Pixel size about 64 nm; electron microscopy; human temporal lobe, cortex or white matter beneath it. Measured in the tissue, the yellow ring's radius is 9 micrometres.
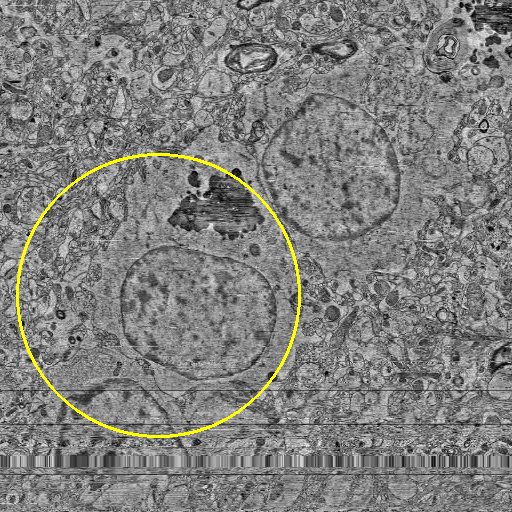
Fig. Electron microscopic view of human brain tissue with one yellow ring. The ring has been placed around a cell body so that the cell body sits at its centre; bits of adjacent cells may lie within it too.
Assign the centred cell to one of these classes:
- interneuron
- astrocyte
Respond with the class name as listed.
astrocyte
